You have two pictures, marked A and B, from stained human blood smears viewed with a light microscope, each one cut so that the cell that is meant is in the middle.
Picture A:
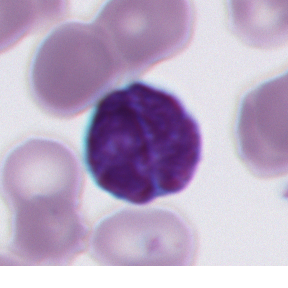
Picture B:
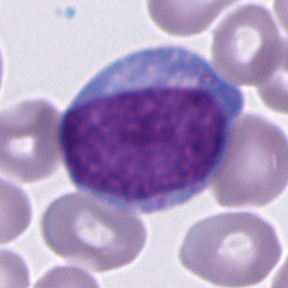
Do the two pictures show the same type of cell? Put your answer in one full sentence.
No, the types are not the same, since picture A shows a typical lymphocyte and picture B a promyelocyte.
